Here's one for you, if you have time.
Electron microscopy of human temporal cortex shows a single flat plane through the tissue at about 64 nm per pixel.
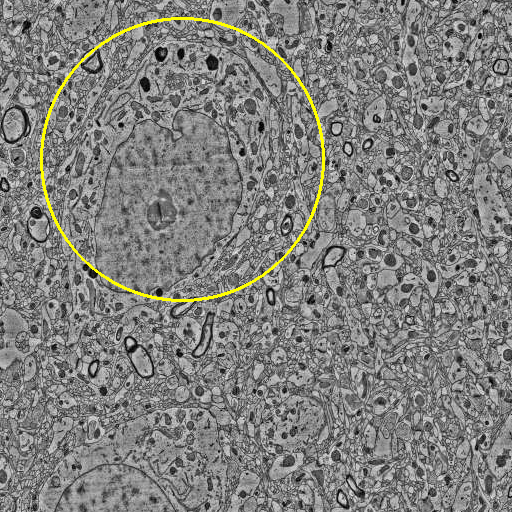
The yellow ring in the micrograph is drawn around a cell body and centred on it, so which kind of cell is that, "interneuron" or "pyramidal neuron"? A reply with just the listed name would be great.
interneuron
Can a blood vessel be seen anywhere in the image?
No, there is no blood vessel in the image.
